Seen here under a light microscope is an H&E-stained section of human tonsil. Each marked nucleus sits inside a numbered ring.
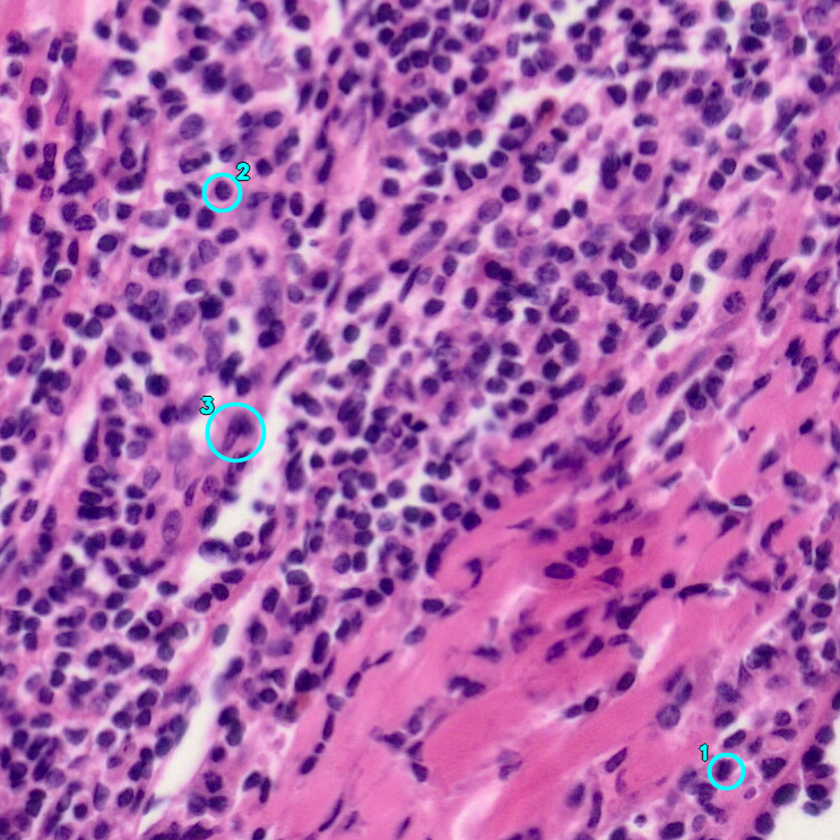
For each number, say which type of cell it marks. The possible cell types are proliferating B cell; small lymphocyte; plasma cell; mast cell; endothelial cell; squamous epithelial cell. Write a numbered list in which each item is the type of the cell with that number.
1. plasma cell
2. endothelial cell
3. endothelial cell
